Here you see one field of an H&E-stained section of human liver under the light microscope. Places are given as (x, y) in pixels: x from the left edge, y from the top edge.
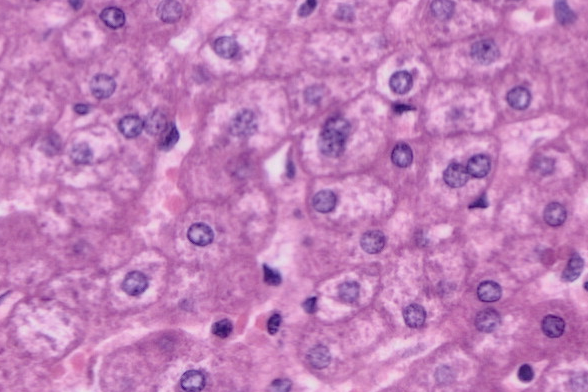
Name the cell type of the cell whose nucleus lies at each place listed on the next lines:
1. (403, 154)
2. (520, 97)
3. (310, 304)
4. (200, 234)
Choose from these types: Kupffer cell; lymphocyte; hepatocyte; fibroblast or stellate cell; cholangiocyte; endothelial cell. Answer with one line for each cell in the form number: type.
1: hepatocyte
2: hepatocyte
3: fibroblast or stellate cell
4: hepatocyte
